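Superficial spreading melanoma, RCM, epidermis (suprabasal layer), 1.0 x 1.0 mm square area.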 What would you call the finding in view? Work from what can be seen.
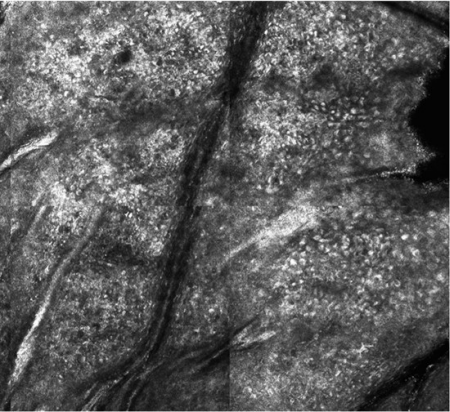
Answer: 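Small bright polygonal-to-round cells are packed in a mosaic. The pattern is uneven in brightness and cell size across the field. That points to this answer: Atypical cobblestone pattern.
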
